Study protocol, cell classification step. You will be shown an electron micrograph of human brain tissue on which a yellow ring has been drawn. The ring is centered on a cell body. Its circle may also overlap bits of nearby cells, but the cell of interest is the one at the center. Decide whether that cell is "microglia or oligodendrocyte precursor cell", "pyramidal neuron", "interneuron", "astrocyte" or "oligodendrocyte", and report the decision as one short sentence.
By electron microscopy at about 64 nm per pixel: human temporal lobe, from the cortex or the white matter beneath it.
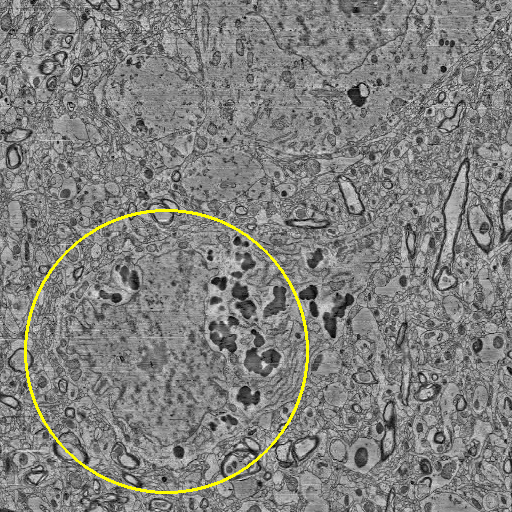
The marked cell is an interneuron.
